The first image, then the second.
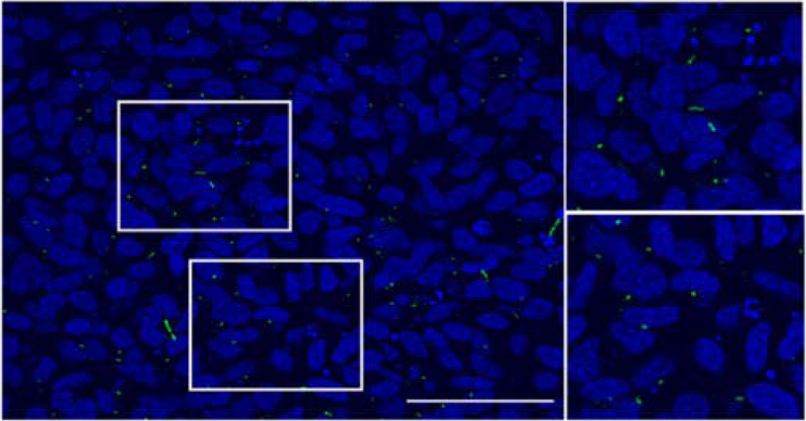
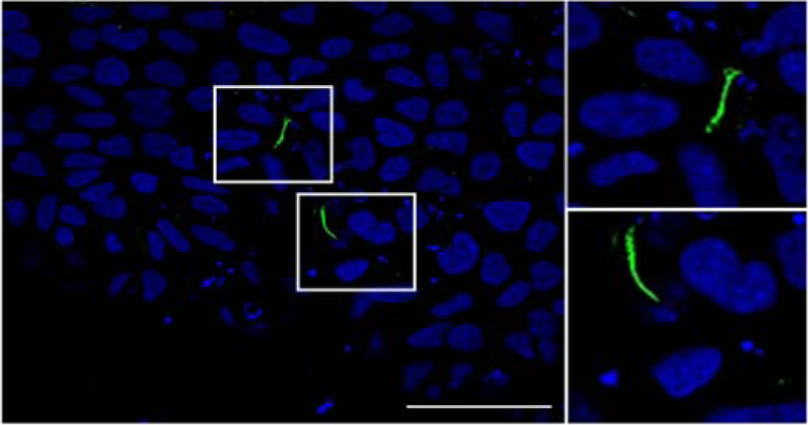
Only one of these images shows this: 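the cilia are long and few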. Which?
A: the second image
